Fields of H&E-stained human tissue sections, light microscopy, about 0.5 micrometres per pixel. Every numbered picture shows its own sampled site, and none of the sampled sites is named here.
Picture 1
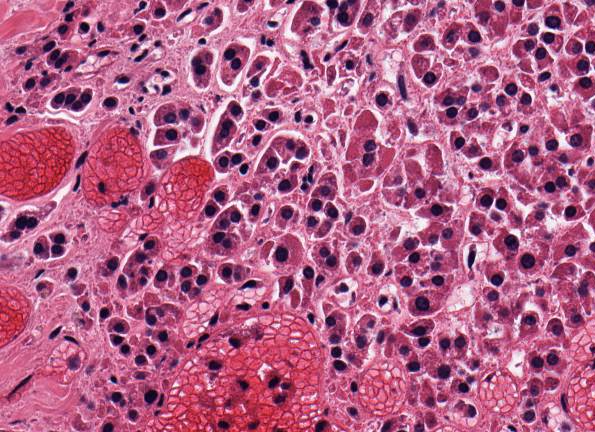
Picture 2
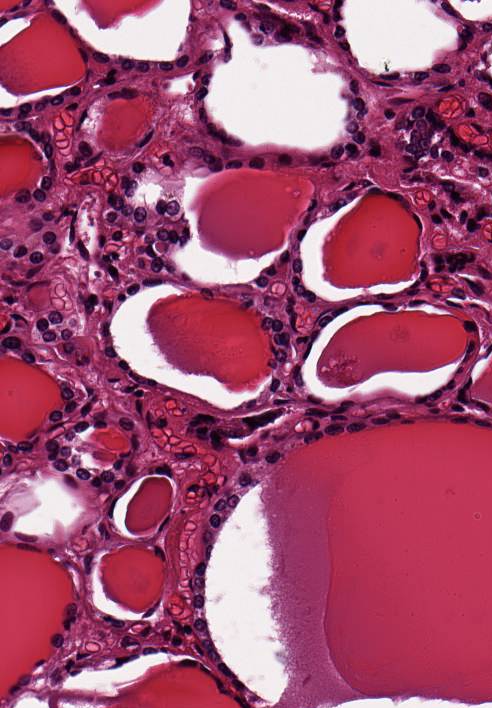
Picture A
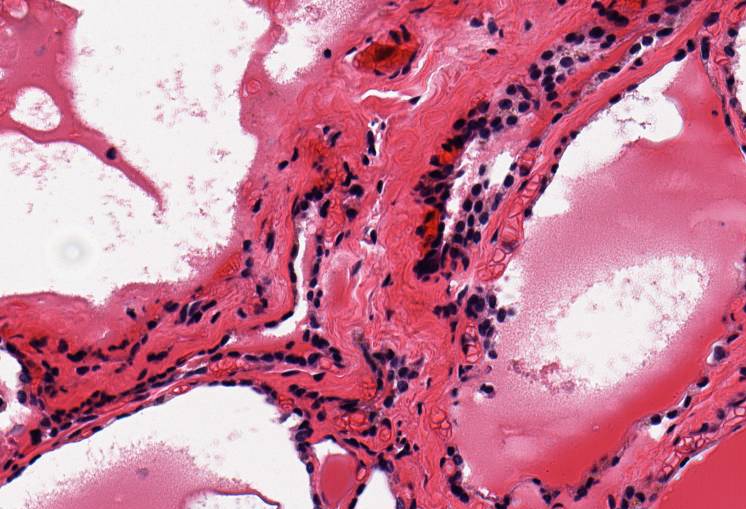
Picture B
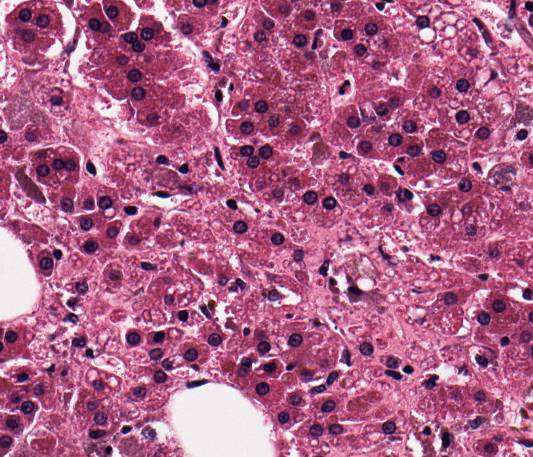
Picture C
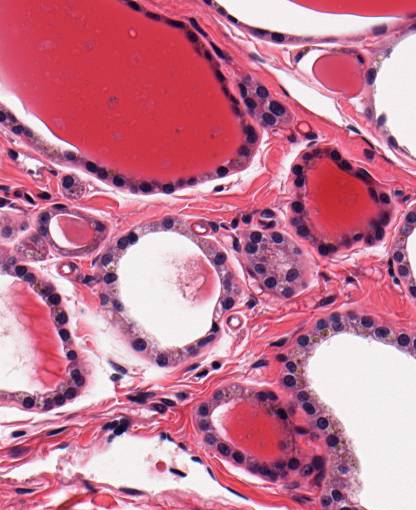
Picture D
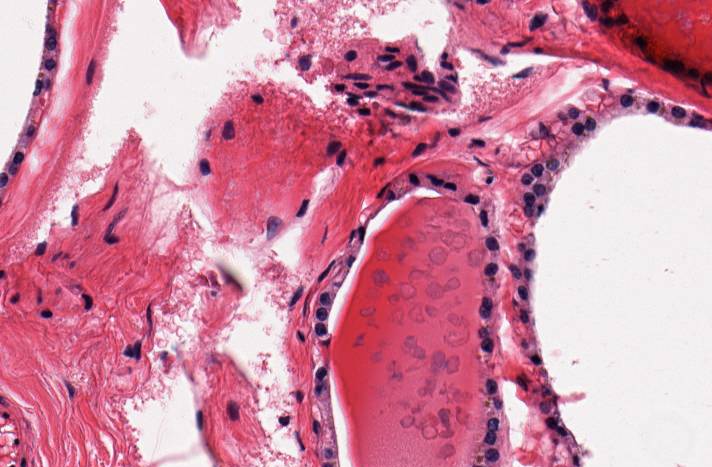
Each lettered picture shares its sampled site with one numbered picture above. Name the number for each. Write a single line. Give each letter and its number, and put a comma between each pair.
A 2, B 1, C 2, D 2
